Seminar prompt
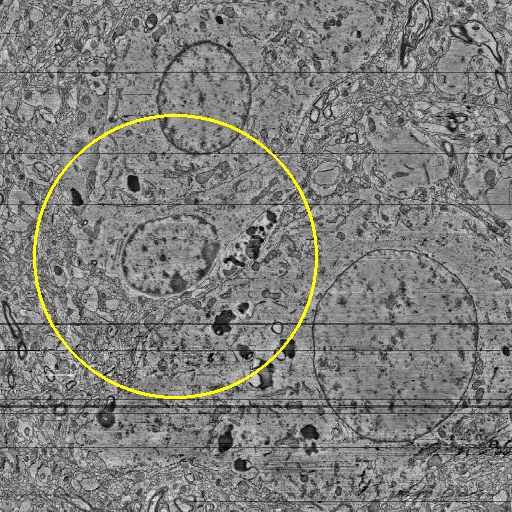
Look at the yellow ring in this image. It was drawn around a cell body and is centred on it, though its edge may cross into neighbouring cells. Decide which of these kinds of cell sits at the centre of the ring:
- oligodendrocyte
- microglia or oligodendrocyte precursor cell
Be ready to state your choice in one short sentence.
The kind of cell at the ring's centre is a microglial cell or oligodendrocyte precursor cell.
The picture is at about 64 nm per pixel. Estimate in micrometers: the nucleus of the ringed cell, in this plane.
The nucleus is approximately 6 micrometers long by 5 micrometers wide in this plane.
